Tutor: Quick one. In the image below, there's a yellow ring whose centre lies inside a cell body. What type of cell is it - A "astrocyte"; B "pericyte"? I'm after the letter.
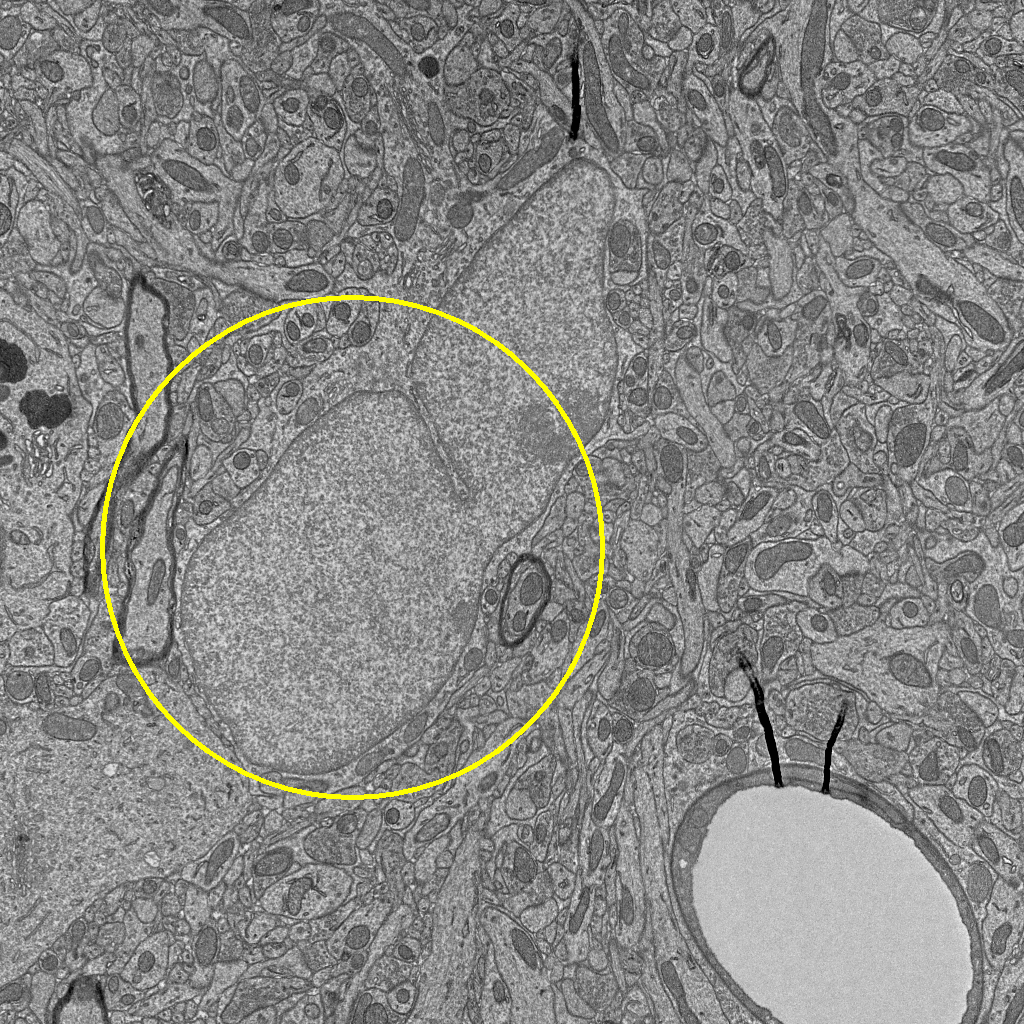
A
